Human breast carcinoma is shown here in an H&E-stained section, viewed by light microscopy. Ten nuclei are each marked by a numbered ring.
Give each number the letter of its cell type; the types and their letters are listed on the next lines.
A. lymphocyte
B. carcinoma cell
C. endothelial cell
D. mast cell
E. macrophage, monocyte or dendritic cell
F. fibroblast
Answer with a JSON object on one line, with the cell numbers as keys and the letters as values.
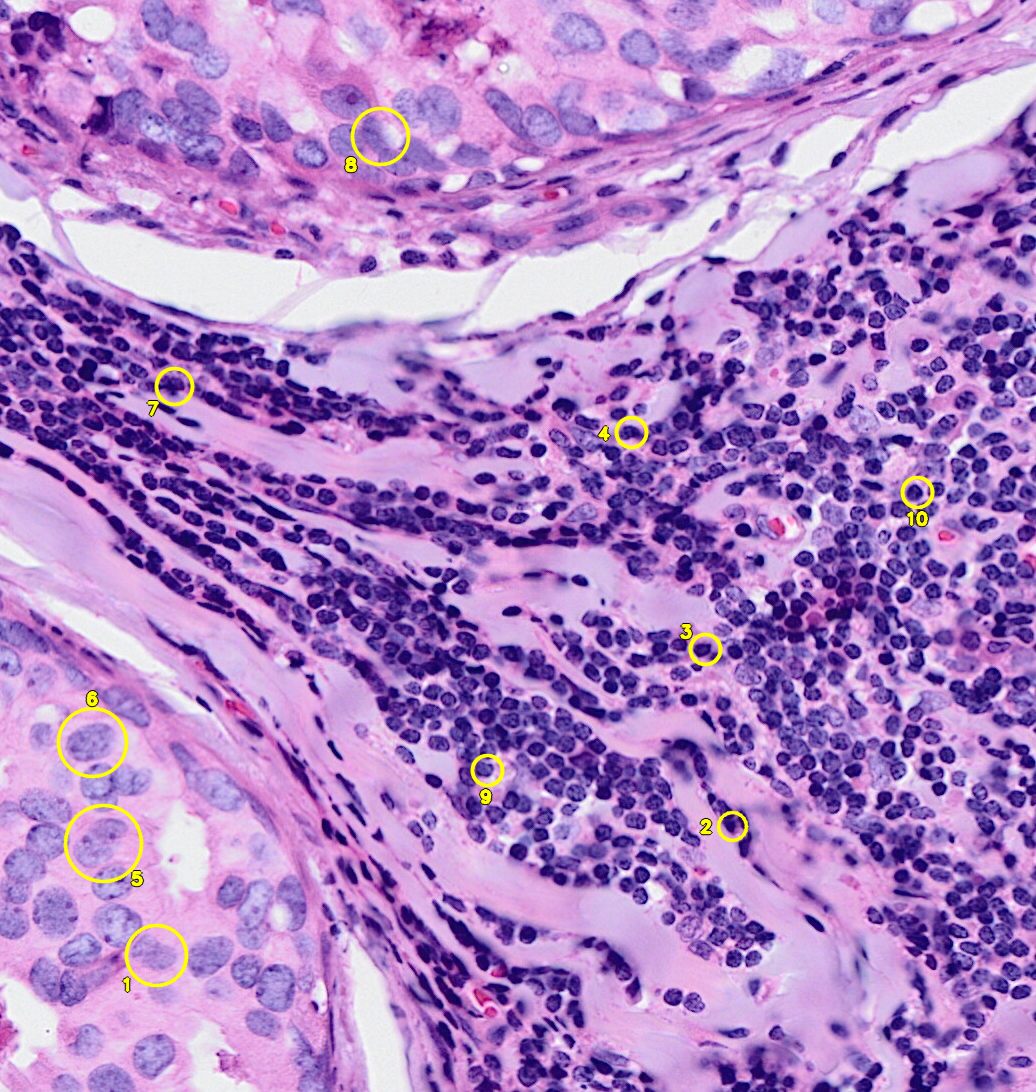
{"1": "B", "2": "A", "3": "A", "4": "A", "5": "B", "6": "B", "7": "A", "8": "B", "9": "A", "10": "A"}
